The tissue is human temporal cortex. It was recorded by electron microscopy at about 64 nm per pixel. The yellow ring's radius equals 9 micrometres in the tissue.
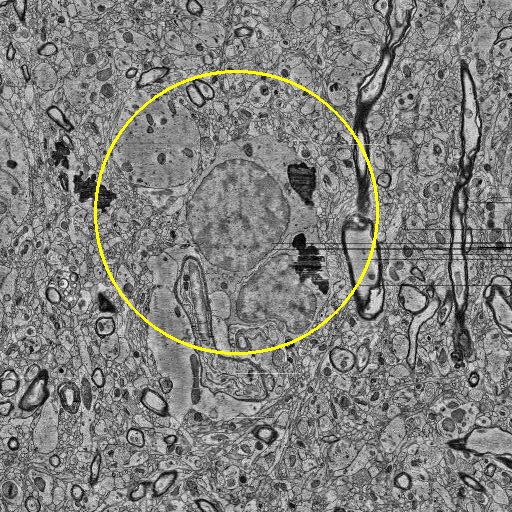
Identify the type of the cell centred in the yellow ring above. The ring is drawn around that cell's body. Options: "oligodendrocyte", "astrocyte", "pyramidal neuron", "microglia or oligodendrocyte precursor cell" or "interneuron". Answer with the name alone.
oligodendrocyte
